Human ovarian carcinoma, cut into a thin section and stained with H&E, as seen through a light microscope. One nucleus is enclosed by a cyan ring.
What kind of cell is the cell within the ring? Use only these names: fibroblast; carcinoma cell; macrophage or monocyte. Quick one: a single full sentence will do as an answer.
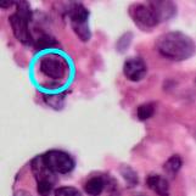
Students should answer that the cell within the ring is a carcinoma cell.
